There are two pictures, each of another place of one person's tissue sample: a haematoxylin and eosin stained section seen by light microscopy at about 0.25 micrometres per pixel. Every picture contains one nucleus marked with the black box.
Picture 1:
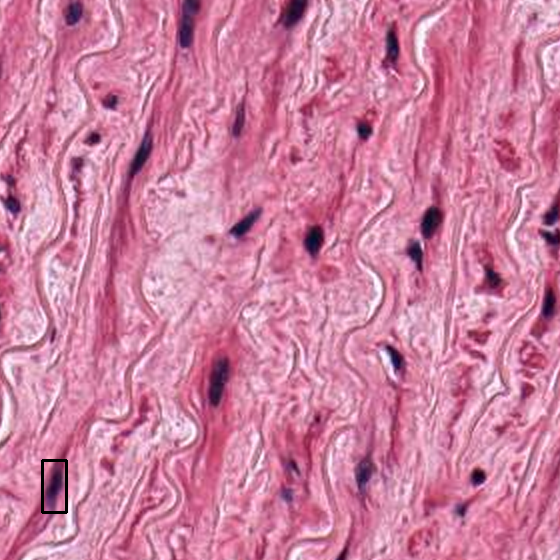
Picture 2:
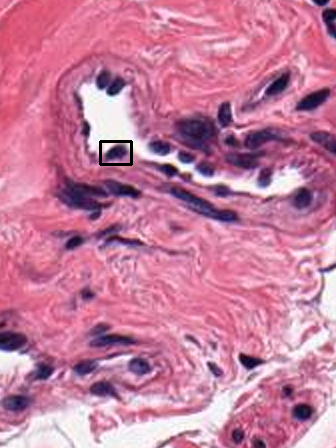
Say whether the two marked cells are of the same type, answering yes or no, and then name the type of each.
No, the first is a smooth muscle cell and the second an endothelial cell.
